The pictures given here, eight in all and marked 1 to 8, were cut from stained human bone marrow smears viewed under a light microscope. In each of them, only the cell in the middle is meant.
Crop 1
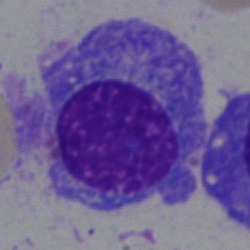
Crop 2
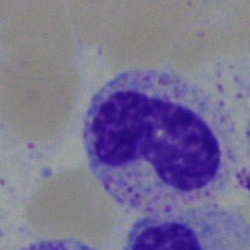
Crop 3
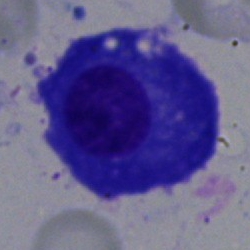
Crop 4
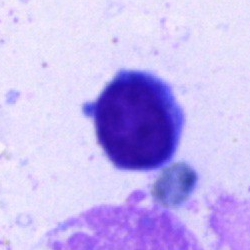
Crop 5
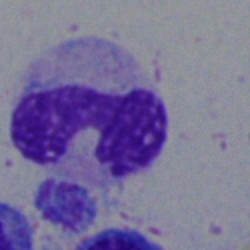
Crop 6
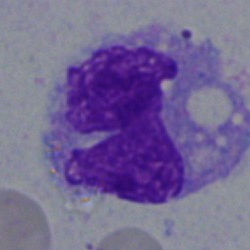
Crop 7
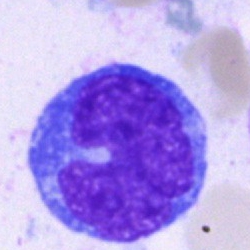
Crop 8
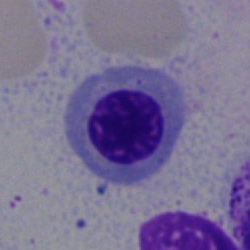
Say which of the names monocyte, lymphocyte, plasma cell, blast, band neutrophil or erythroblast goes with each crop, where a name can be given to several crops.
1: plasma cell
2: band neutrophil
3: plasma cell
4: lymphocyte
5: band neutrophil
6: monocyte
7: monocyte
8: erythroblast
